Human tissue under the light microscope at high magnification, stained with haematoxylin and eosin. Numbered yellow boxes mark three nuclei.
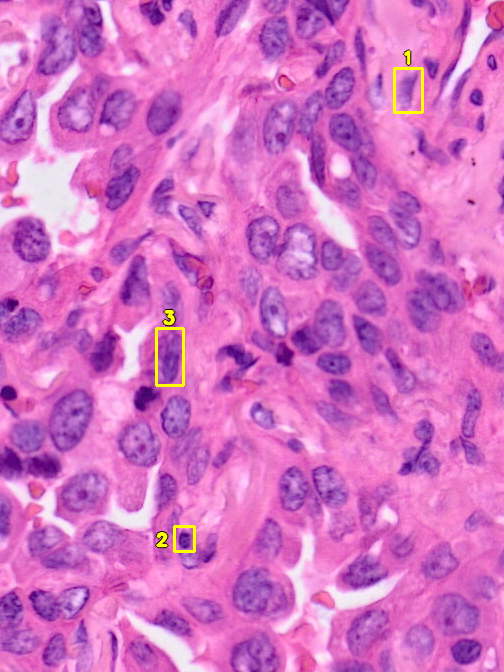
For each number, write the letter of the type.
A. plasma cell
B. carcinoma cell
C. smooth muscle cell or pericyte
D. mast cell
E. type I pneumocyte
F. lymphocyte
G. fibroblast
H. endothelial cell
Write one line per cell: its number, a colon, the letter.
1: G
2: F
3: B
